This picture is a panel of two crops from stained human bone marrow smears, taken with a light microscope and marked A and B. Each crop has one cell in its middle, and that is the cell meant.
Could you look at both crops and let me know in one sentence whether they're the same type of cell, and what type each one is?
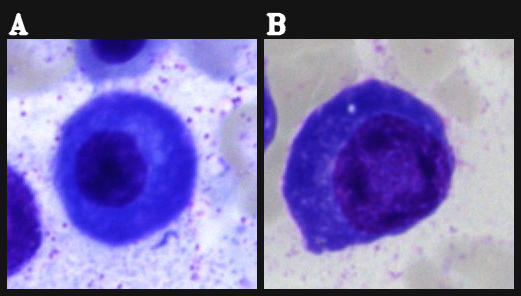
Yes, the crops both have plasma cells in the middle.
